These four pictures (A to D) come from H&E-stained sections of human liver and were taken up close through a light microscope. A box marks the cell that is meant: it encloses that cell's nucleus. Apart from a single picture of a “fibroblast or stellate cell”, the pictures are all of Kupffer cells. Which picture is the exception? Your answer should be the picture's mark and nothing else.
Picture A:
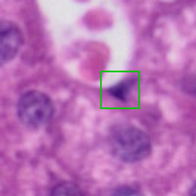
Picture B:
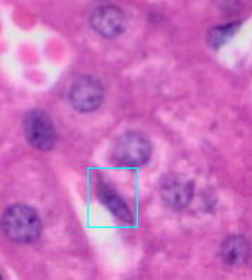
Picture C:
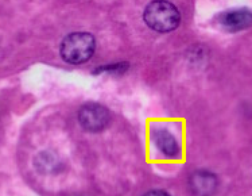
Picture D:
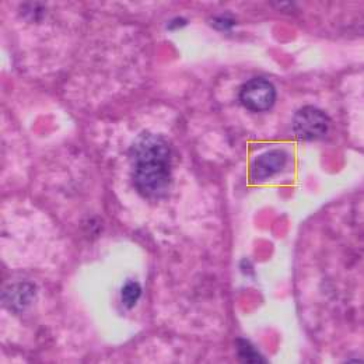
A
